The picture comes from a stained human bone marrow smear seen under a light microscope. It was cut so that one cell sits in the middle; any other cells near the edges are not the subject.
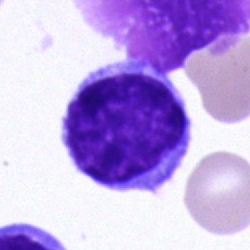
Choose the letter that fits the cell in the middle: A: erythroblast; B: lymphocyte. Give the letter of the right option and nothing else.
B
